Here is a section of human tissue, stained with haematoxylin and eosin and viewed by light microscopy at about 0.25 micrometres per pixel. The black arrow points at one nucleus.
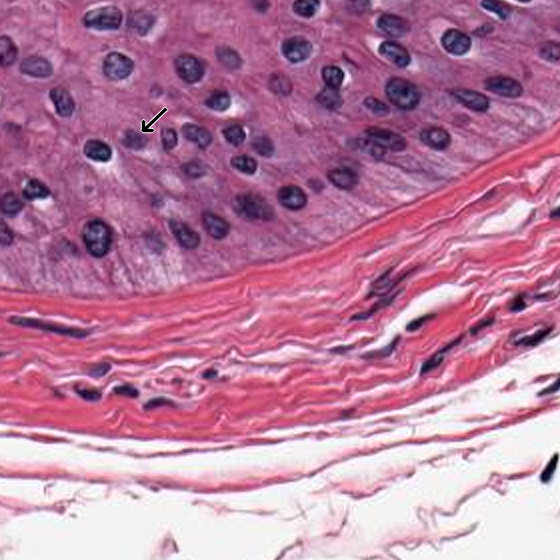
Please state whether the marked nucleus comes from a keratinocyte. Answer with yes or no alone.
yes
